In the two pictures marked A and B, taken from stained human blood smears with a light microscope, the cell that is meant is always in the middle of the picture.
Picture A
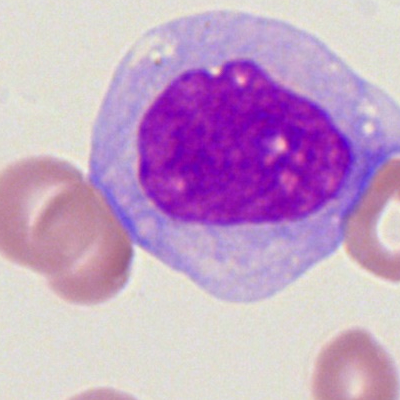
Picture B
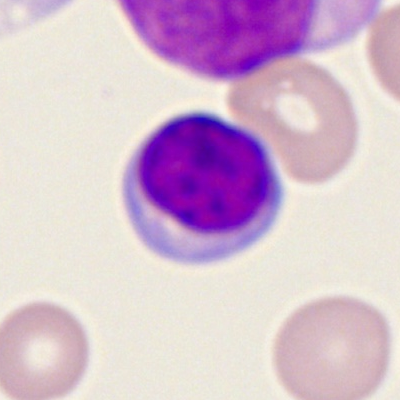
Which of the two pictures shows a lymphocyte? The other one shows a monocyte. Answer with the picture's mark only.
B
